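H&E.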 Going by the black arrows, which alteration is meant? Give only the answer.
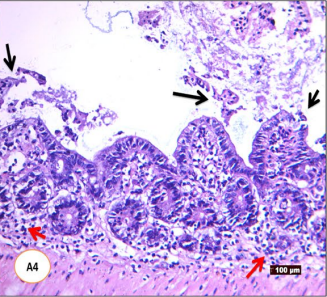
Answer: Sloughing of its tip.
